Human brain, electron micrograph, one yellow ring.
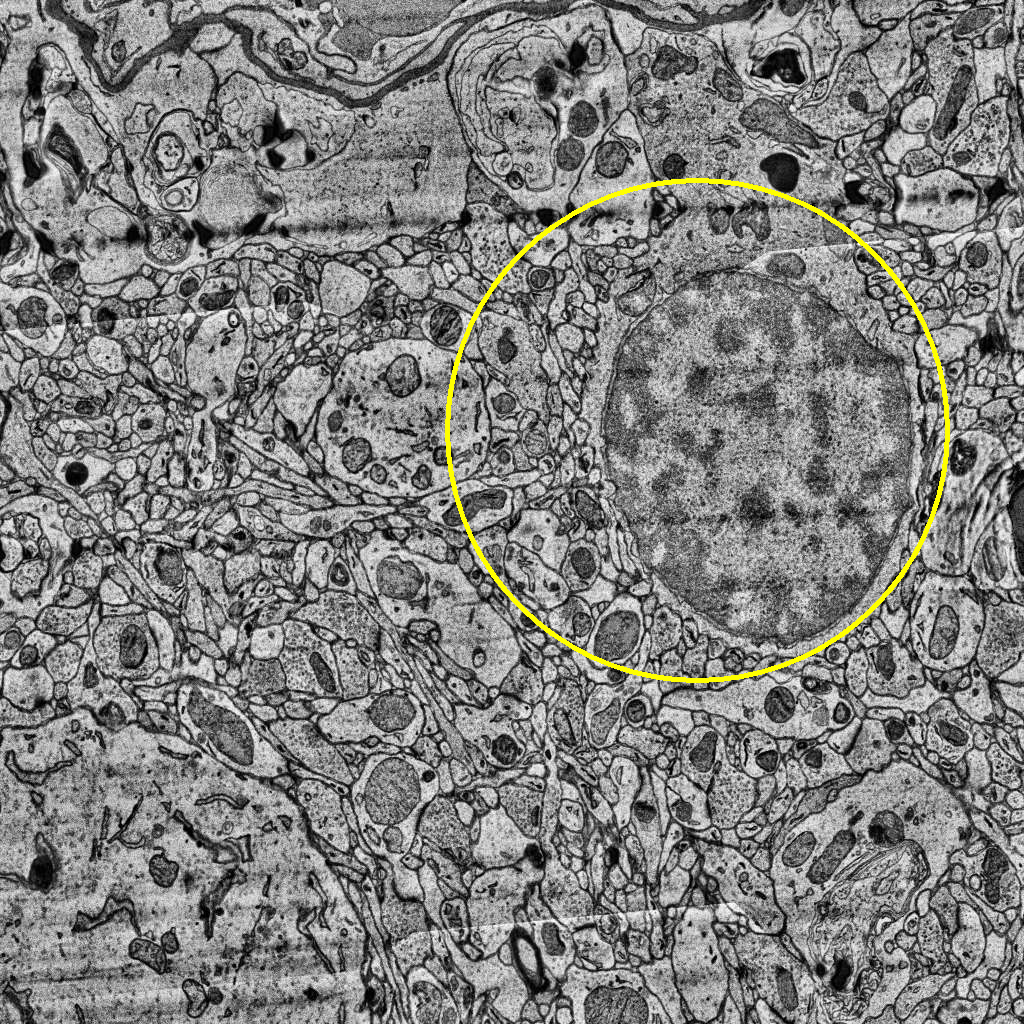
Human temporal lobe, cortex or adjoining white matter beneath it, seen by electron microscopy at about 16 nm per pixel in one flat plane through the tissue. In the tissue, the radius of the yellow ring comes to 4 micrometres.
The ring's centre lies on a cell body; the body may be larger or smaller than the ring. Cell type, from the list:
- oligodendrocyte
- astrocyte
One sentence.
The yellow ring's centre lies on an oligodendrocyte.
